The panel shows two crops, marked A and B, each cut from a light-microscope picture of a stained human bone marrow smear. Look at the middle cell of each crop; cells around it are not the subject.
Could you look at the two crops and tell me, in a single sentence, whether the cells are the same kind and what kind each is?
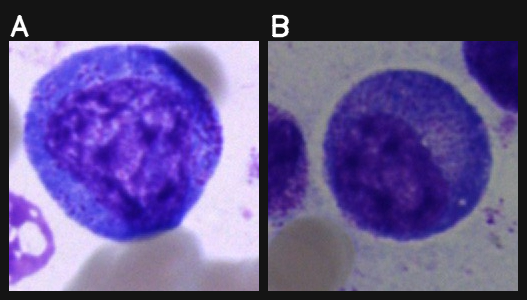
Yes, the centre cells of both crops are promyelocytes.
